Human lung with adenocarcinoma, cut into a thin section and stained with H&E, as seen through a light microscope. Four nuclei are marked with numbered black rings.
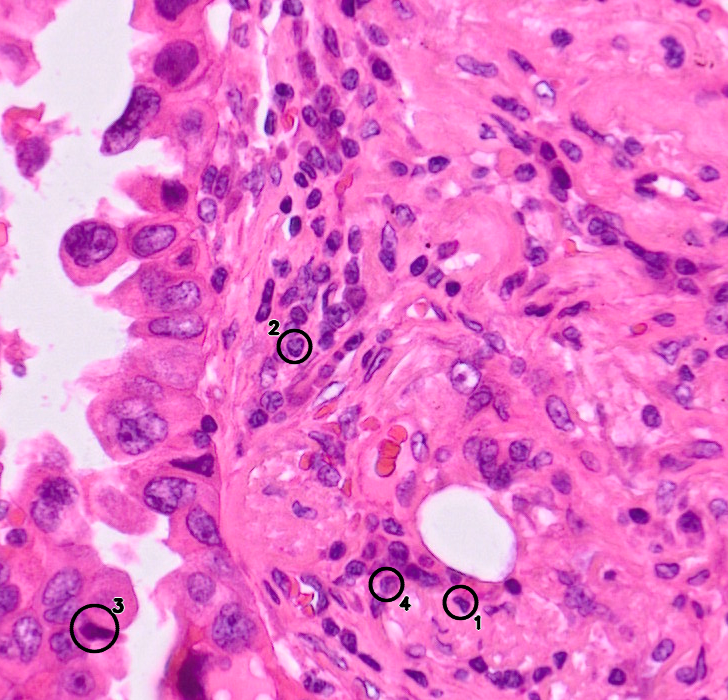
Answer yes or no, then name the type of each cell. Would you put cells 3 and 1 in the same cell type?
No, with respect, cell 3 is a carcinoma cell and cell 1 is a lymphocyte.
